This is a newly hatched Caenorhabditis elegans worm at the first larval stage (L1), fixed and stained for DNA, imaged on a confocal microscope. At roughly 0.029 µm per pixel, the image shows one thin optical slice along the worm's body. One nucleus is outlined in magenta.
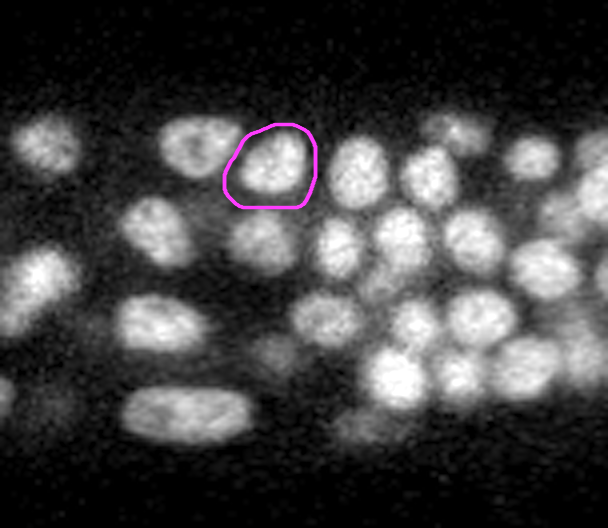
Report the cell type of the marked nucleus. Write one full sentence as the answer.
The marked cell is a body wall muscle cell.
